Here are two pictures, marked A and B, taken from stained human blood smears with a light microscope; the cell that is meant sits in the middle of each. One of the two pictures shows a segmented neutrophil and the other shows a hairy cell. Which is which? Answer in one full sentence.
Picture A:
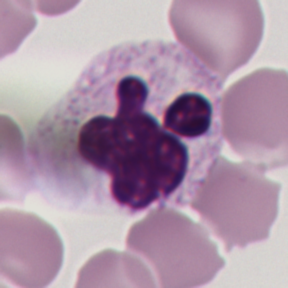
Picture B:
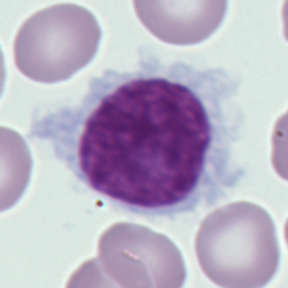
The cell in picture A is a segmented neutrophil, and the one in picture B is a hairy cell.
